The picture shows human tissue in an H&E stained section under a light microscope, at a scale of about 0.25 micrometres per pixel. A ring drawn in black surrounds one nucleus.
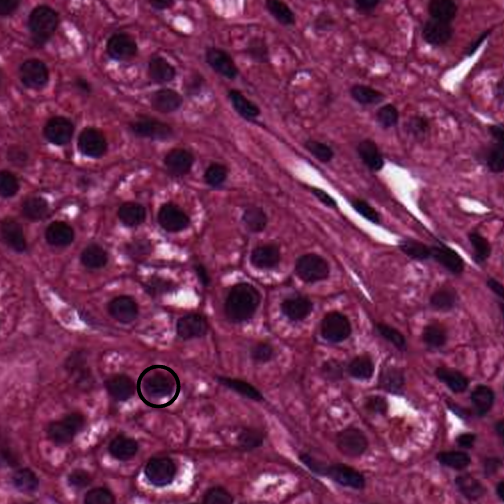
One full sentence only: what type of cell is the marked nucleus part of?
The marked nucleus is that of an adrenal cortical cell.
